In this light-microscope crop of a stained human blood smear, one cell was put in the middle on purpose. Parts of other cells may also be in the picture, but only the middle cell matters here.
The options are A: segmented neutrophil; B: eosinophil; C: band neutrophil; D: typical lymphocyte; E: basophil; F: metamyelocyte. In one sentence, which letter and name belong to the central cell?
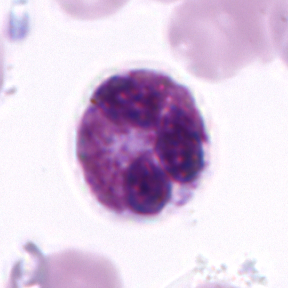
That middle cell is an eosinophil, and option B is therefore correct.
